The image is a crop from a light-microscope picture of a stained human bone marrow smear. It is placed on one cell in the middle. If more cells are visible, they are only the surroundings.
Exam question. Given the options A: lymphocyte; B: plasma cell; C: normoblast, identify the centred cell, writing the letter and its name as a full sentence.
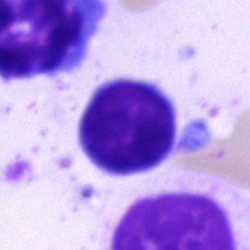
Since the middle cell is a lymphocyte, option A is the right one.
